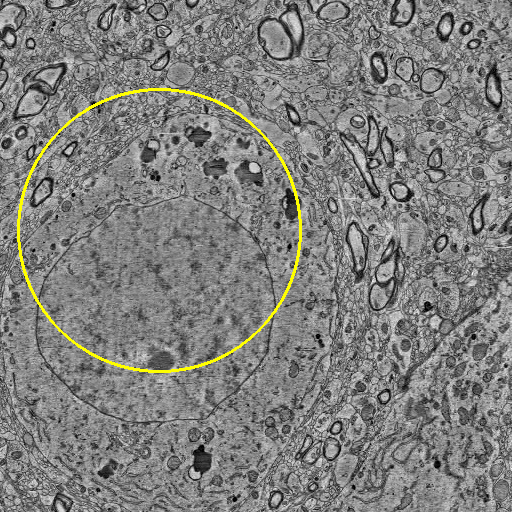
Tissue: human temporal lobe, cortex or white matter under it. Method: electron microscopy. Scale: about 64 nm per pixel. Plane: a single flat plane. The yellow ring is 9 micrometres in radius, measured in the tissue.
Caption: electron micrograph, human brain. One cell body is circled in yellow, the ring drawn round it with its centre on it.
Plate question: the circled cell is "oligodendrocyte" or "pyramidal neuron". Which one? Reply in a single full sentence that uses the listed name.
The yellow ring on the plate is centred on a pyramidal neuron, going by the listed names.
